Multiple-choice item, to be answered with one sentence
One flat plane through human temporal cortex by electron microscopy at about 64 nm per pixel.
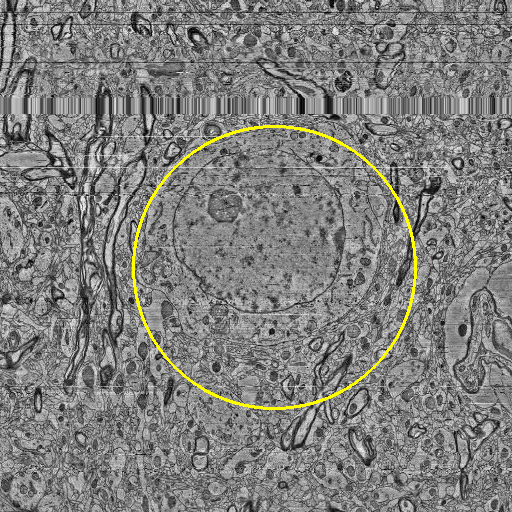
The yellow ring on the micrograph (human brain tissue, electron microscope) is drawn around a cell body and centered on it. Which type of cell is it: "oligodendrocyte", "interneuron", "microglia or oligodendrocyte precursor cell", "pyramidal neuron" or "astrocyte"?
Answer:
The ring is centered on a pyramidal neuron.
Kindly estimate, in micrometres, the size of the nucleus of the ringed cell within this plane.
The nucleus comes to roughly 11 micrometres across in this plane.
